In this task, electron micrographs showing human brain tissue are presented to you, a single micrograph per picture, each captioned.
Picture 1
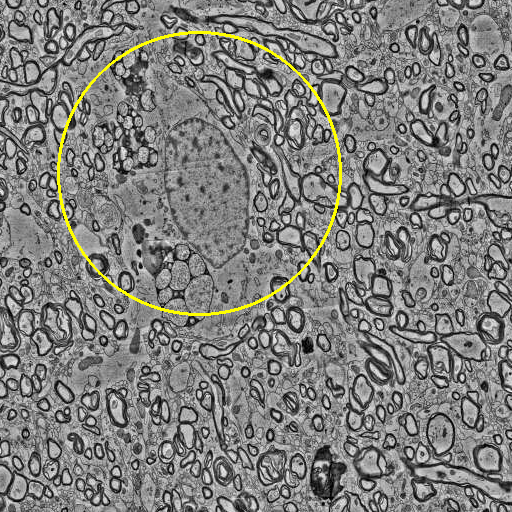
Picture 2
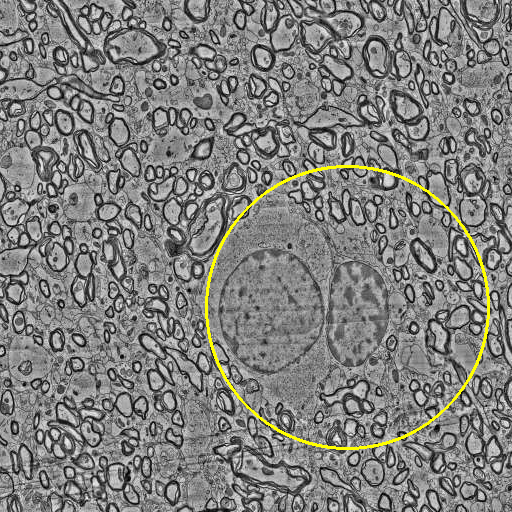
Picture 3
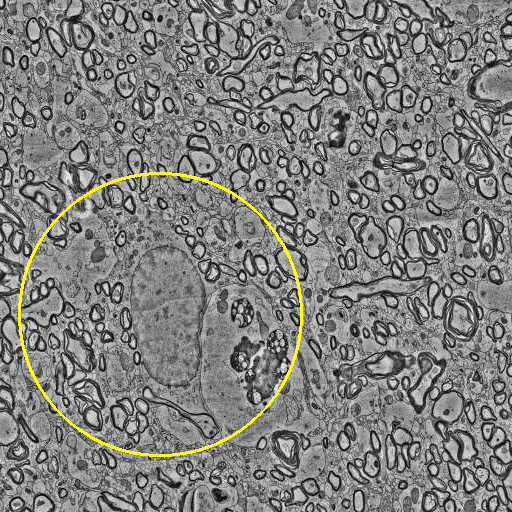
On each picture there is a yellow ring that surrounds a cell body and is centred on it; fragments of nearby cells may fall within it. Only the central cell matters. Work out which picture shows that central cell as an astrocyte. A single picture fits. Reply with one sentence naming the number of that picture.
Of all the pictures, number 1 has the right cell in the centre of its ring.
